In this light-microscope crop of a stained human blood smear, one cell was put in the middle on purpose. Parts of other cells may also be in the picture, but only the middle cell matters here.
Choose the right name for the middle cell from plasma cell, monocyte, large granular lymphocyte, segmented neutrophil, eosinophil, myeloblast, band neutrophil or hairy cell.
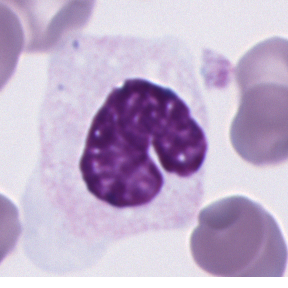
band neutrophil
